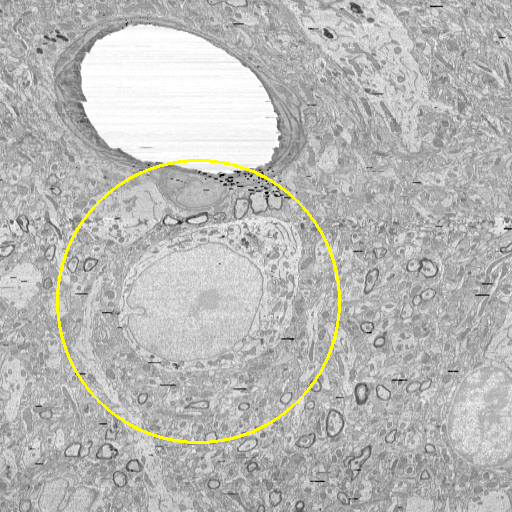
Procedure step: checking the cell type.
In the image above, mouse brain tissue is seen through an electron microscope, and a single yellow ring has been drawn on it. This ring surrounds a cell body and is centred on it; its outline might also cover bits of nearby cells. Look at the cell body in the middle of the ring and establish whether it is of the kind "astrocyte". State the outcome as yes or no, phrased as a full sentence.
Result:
No, the cell body at the ring's centre in the image is of another kind.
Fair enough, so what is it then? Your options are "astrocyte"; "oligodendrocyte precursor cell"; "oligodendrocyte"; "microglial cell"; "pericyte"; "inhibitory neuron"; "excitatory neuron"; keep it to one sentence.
Instead, the cell at the centre of the ring is an inhibitory neuron.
